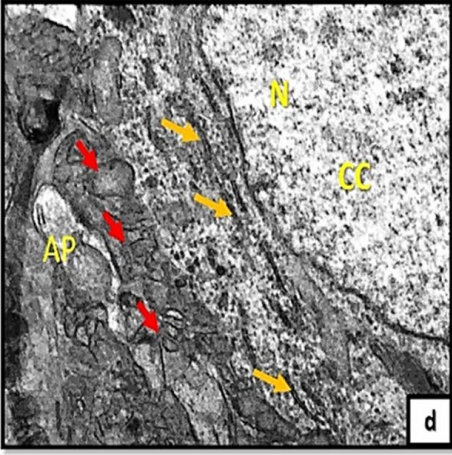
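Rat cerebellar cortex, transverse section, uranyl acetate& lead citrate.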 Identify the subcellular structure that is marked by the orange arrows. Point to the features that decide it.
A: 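The orange arrows point to long thin membrane lines in the cytoplasm. The lines run parallel to the nuclear edge. So: endoplasmic reticulum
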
